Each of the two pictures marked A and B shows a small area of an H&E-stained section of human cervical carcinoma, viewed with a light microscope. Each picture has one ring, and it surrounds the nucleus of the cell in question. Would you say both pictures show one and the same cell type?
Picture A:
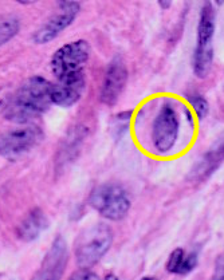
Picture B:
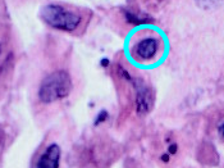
no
